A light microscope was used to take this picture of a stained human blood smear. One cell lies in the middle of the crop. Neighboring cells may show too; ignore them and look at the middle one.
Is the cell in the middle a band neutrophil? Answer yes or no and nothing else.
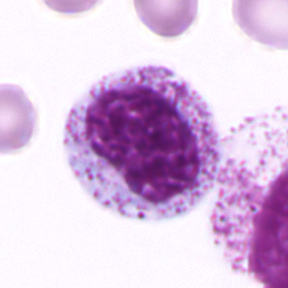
no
